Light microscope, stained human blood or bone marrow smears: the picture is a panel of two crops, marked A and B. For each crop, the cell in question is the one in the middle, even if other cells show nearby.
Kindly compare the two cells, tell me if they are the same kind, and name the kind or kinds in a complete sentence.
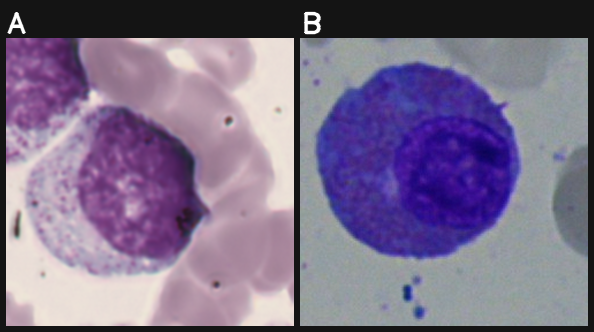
No, an eosinophil is depicted in crop B, whereas a myelocyte is depicted in crop A.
